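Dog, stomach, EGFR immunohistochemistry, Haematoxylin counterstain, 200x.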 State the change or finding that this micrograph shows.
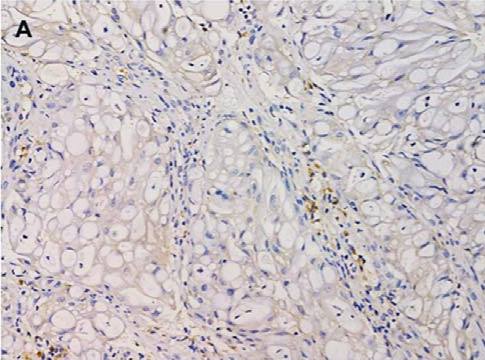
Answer: Signet ring cell carcinoma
